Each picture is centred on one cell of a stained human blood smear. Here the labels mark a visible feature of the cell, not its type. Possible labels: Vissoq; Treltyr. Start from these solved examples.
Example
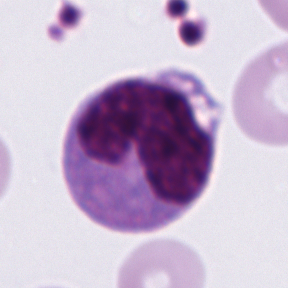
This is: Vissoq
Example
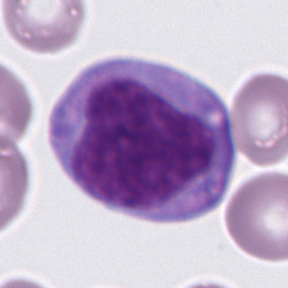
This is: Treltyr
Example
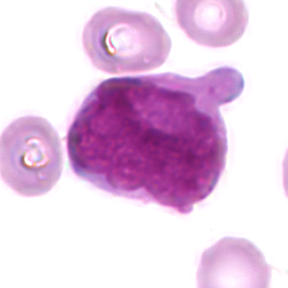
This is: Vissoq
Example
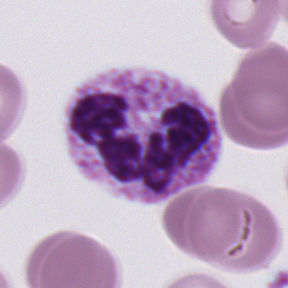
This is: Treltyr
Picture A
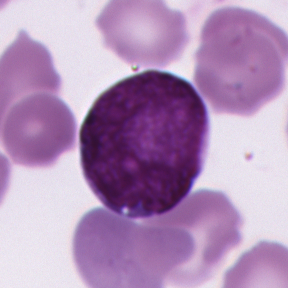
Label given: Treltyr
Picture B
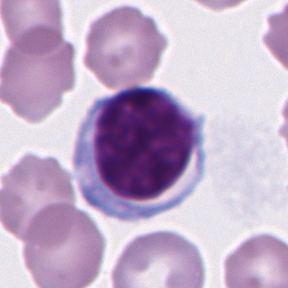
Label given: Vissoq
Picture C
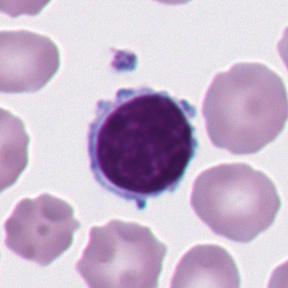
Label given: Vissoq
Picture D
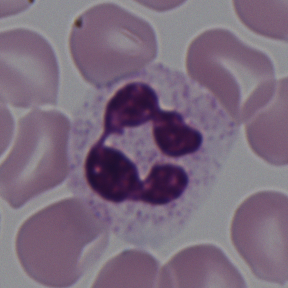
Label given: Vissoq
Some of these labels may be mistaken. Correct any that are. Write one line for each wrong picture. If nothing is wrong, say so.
B: change Vissoq to Treltyr
D: change Vissoq to Treltyr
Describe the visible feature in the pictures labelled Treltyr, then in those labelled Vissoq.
Treltyr: smooth outline; Vissoq: ragged outline or projections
